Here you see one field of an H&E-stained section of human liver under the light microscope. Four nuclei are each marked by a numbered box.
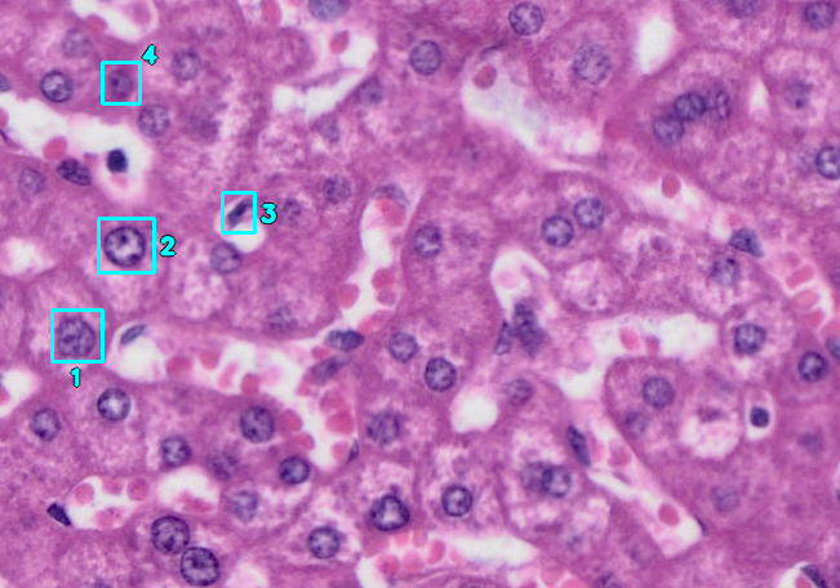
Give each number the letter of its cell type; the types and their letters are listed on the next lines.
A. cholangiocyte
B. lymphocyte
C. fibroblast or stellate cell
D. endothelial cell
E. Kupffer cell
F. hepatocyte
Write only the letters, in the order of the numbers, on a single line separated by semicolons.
F; F; D; F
